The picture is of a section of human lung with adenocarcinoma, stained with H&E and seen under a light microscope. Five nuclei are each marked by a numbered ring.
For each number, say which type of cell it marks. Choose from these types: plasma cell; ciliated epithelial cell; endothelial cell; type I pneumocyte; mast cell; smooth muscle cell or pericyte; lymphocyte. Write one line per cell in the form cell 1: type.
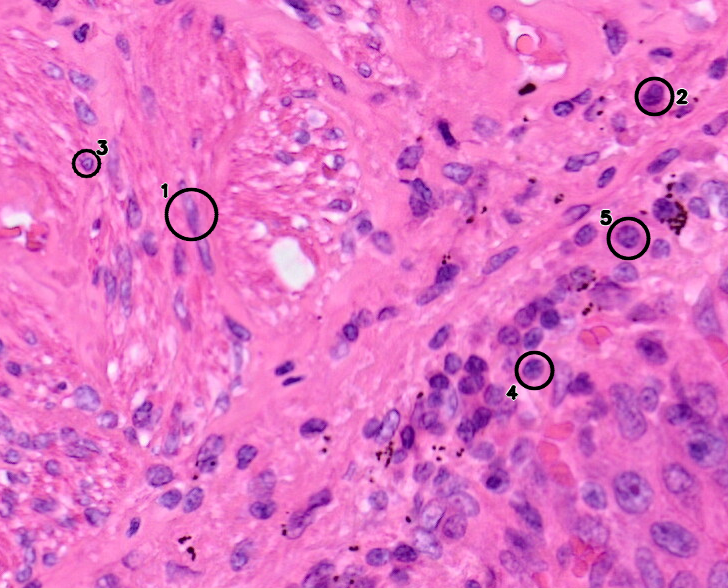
cell 1: smooth muscle cell or pericyte
cell 2: plasma cell
cell 3: smooth muscle cell or pericyte
cell 4: lymphocyte
cell 5: plasma cell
